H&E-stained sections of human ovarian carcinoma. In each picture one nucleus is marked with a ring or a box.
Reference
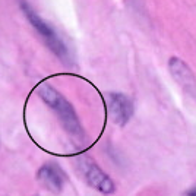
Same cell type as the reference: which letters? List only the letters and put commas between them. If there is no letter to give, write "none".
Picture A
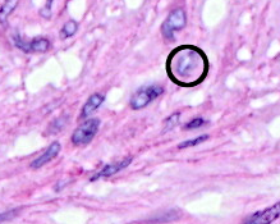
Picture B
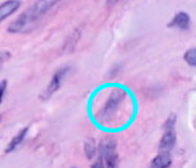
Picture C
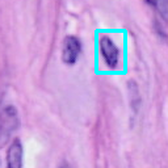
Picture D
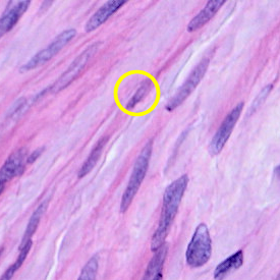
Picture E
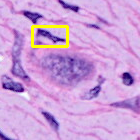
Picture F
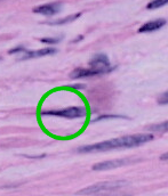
B, D, F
